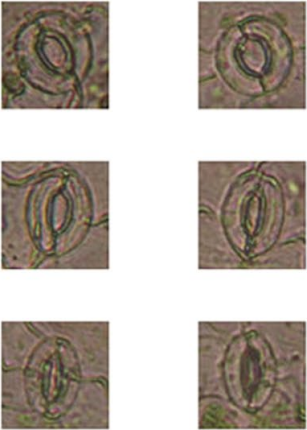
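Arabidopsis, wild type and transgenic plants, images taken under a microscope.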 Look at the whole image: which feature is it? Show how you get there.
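Stomatal apertures. Each small image shows a pair of curved, bean-shaped cells facing each other. A lens-shaped opening lies between the paired cells. The openings differ in width between images.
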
